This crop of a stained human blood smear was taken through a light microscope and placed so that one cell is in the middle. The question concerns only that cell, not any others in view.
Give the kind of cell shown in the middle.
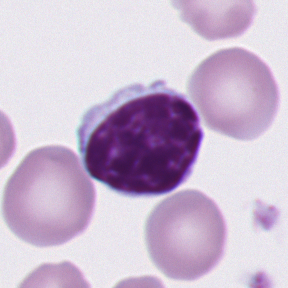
lymphocyte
